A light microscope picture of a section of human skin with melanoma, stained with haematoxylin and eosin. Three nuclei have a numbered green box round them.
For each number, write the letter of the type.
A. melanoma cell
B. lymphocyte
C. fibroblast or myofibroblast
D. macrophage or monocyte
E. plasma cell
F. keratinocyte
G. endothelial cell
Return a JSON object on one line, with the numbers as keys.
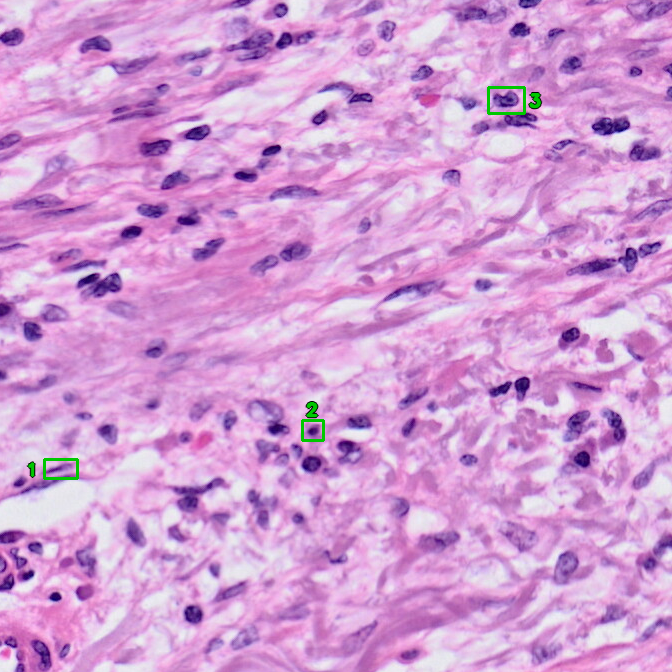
{"1": "C", "2": "E", "3": "B"}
